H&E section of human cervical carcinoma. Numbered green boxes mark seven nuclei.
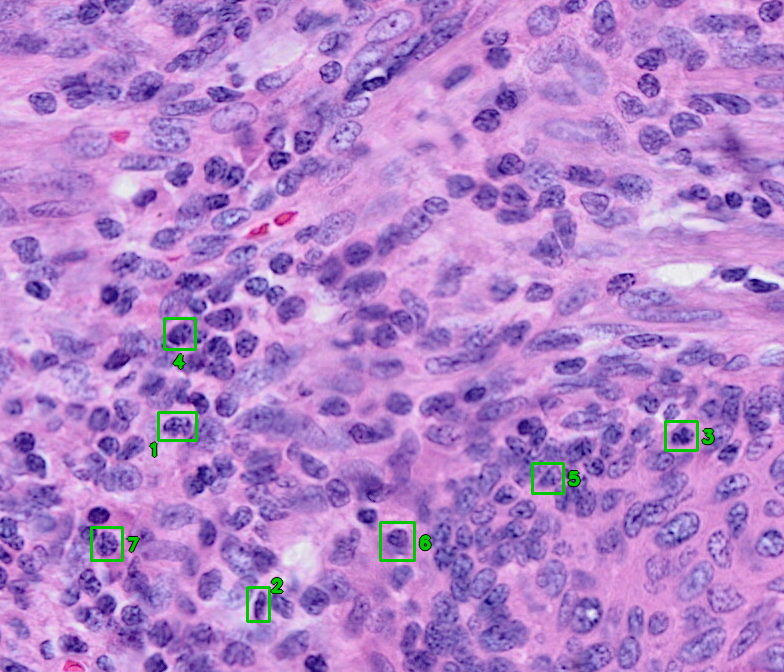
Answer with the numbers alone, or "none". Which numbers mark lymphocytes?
1, 2, 4, 7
